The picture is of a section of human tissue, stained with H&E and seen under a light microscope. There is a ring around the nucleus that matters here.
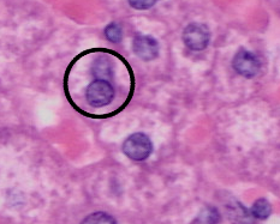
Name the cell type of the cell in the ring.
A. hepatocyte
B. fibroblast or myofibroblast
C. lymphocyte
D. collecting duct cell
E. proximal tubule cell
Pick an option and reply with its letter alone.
A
